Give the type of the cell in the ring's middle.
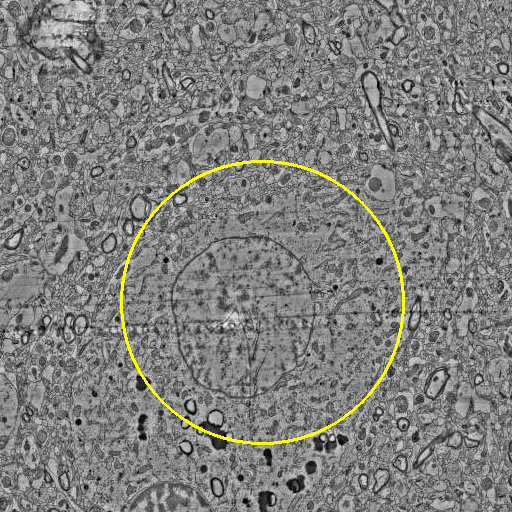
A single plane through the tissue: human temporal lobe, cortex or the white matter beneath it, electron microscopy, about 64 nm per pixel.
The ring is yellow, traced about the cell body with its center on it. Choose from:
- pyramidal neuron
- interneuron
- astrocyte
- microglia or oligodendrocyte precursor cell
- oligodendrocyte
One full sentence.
Here, a pyramidal neuron is the cell lying at the center of the yellow ring.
